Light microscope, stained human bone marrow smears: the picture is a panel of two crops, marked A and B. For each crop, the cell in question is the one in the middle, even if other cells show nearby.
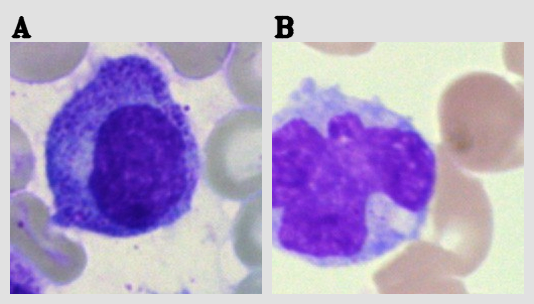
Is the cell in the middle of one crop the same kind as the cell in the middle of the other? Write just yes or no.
no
